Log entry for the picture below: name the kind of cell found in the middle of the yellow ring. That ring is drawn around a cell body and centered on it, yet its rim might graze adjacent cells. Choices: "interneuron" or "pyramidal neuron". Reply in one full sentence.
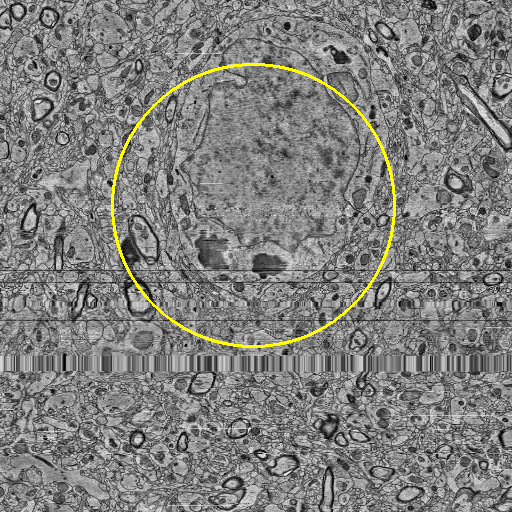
The cell in the middle of the yellow ring in this picture is an interneuron.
